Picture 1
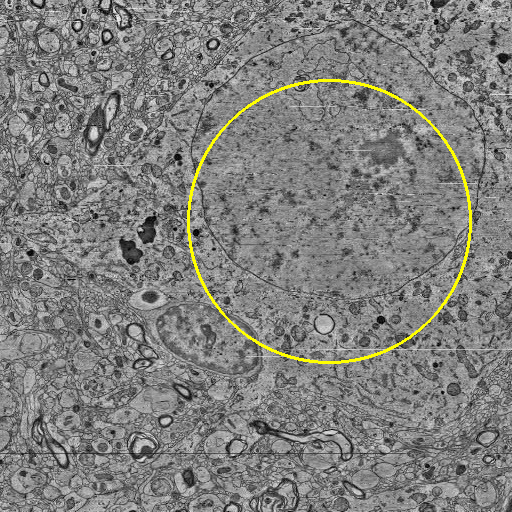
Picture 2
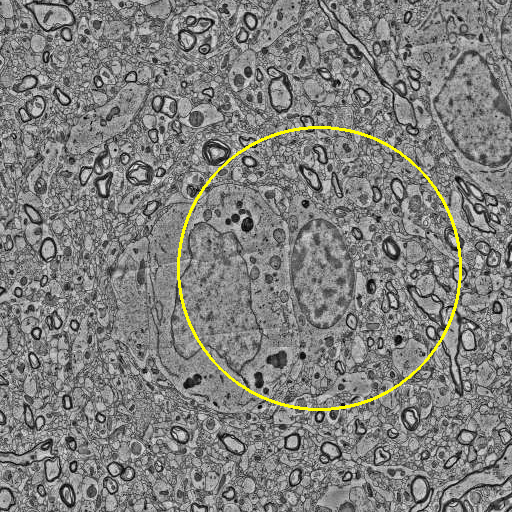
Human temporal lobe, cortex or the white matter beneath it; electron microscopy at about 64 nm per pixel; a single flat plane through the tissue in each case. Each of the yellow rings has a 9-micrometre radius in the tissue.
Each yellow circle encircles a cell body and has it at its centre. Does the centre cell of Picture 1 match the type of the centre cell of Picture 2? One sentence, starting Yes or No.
No, the cell centred in Picture 1 and the one in Picture 2 have separate types.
